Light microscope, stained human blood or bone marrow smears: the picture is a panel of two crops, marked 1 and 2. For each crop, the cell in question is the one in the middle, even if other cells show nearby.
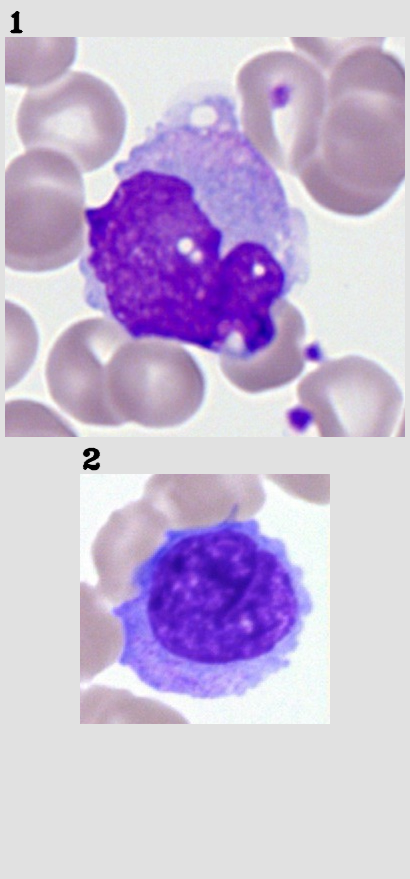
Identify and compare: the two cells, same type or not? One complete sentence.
Yes, the cells at the centres of the two crops are monocytes.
